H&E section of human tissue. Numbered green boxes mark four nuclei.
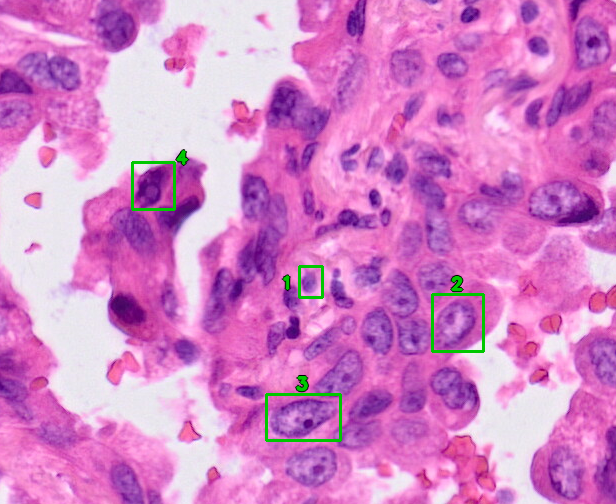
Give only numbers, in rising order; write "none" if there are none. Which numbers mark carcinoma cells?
2, 3, 4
